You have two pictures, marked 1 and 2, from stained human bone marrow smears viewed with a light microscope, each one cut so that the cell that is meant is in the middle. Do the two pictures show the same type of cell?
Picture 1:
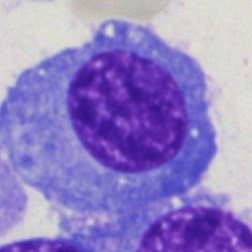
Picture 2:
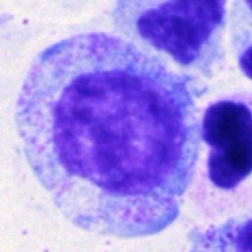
no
